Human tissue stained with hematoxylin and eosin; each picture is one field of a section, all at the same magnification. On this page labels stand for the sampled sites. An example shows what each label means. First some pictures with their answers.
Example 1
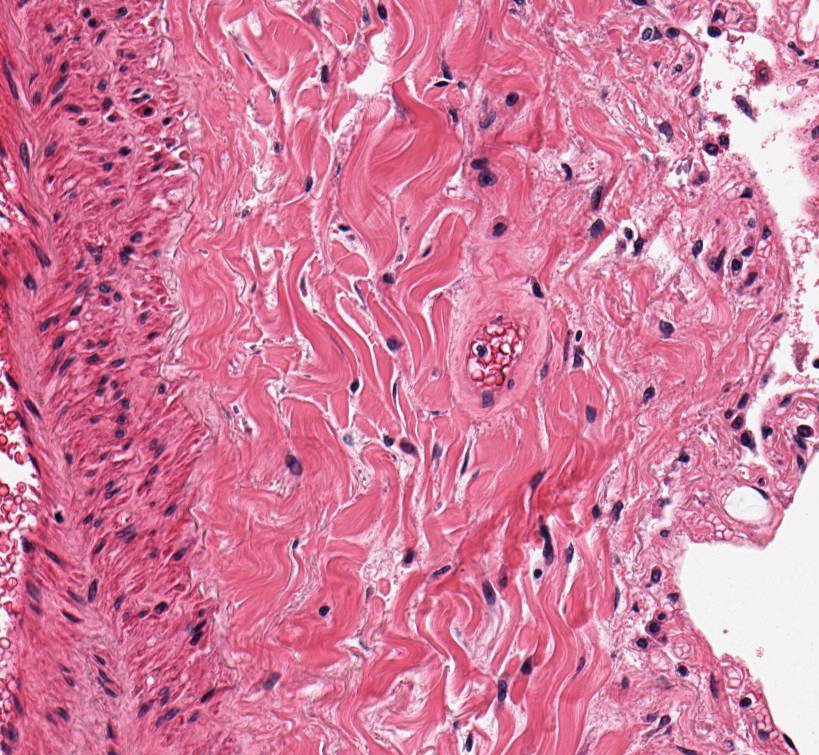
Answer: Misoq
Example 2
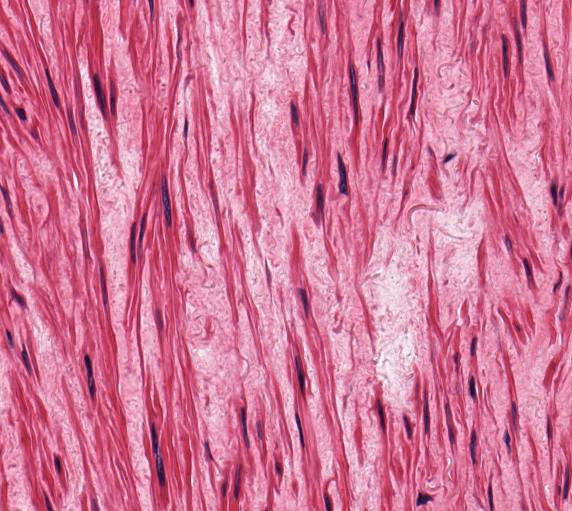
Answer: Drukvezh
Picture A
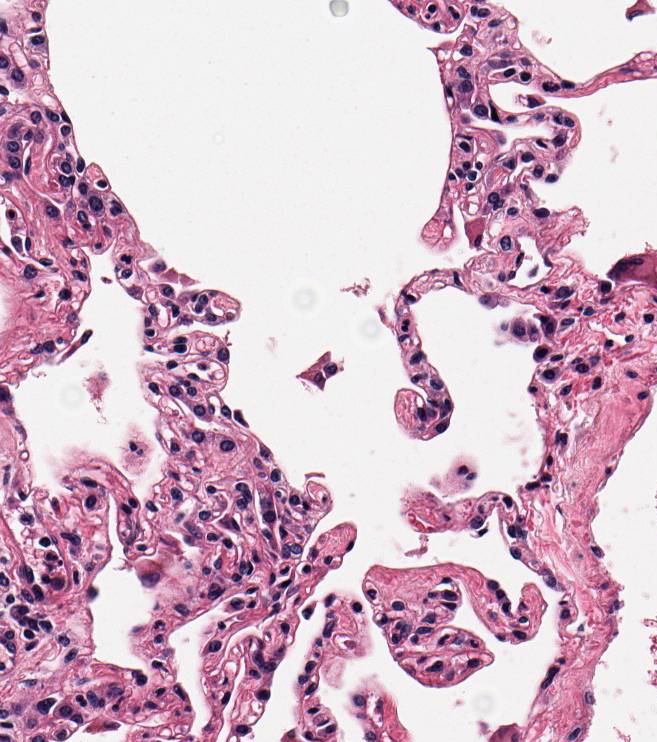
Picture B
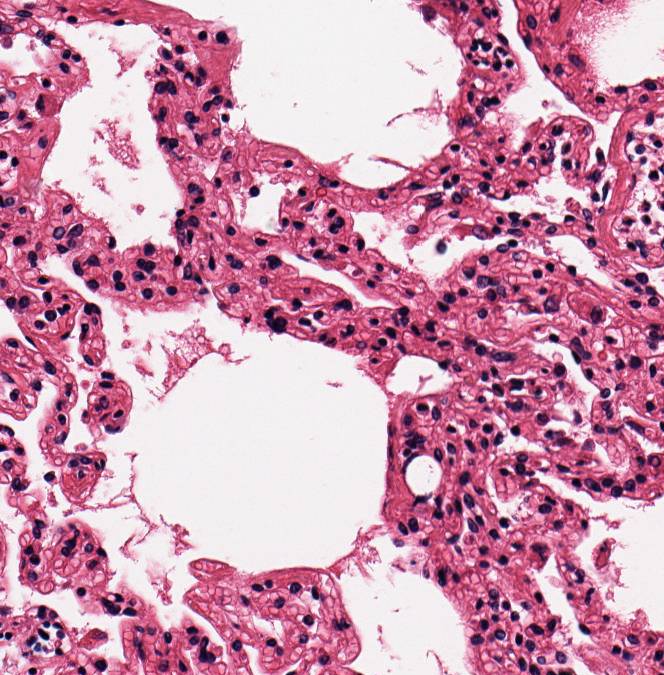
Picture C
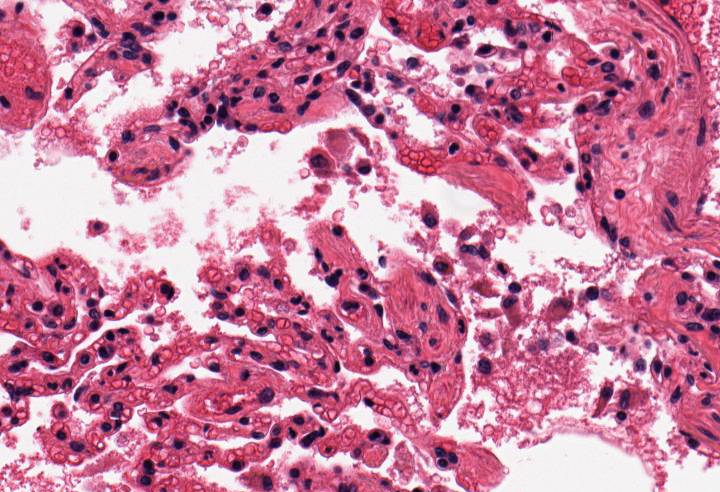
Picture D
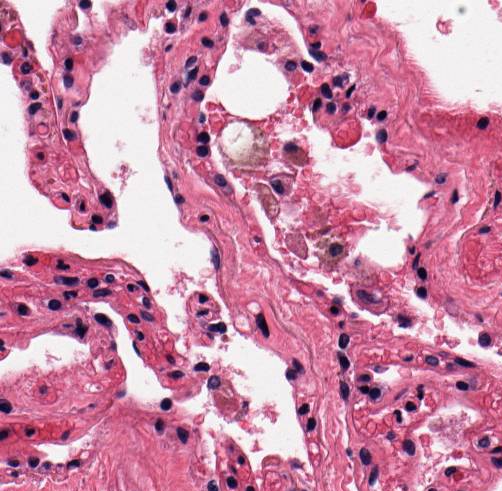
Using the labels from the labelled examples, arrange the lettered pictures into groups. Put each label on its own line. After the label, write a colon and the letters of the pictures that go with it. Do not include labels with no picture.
Misoq: A, B, C, D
